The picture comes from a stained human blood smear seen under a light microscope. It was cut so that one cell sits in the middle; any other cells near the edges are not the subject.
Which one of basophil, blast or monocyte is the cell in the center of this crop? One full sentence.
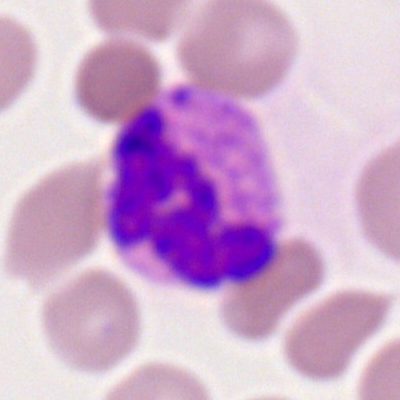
The cell at the middle of the frame should be recorded as a basophil.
